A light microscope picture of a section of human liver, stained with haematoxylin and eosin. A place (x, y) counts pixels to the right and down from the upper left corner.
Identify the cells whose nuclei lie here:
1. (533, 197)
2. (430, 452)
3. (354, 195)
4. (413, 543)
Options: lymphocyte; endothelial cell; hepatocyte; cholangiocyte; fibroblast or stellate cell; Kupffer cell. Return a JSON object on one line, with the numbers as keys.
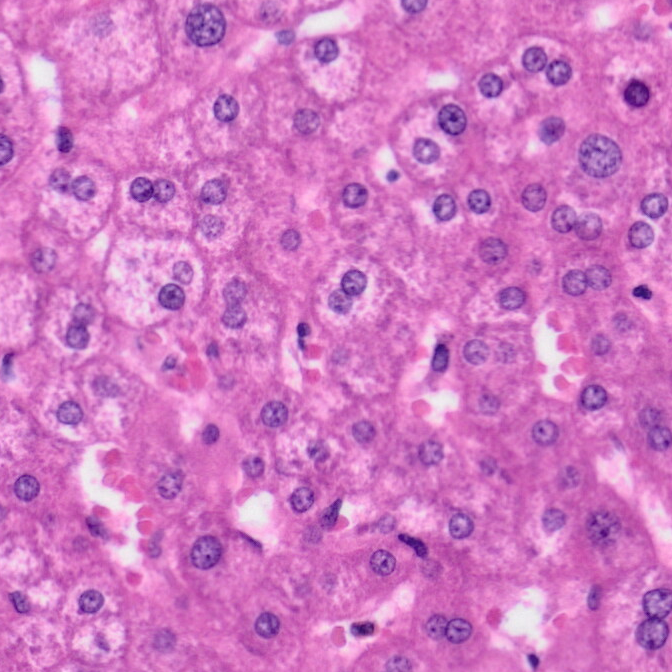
{"1": "hepatocyte", "2": "hepatocyte", "3": "hepatocyte", "4": "fibroblast or stellate cell"}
